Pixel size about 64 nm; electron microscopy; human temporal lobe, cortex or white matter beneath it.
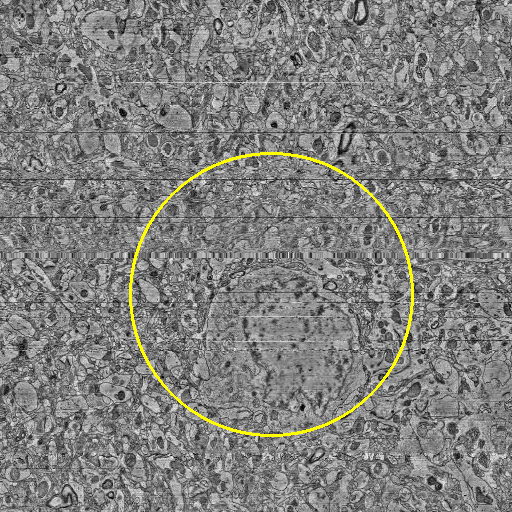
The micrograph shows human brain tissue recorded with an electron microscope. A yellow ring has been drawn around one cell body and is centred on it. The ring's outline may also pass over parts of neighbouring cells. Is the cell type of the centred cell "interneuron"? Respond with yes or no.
yes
